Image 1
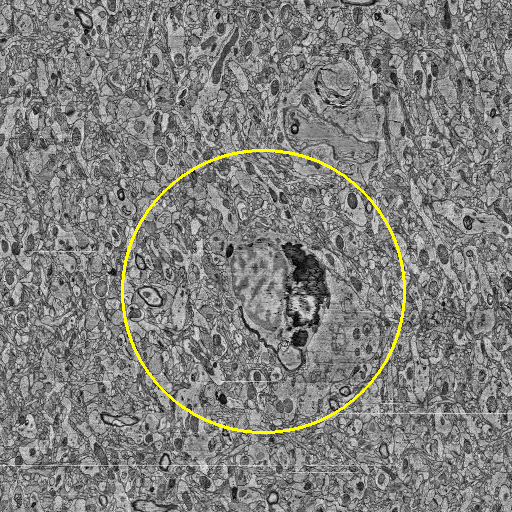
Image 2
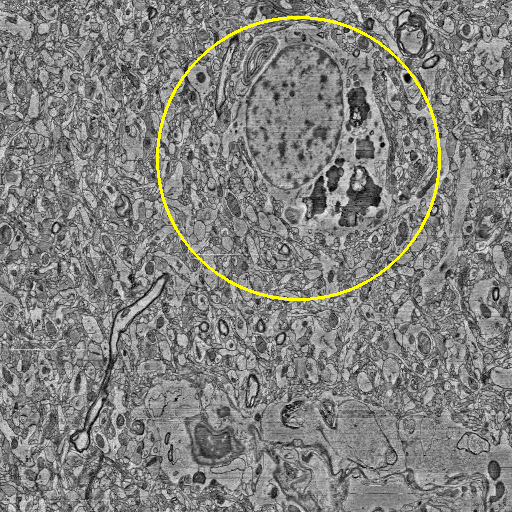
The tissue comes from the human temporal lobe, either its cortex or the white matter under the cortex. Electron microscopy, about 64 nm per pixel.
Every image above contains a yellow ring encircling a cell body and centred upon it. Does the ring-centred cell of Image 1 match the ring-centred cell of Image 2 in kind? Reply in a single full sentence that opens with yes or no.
No, the cell at the ring's centre in Image 1 is a separate kind from that in Image 2.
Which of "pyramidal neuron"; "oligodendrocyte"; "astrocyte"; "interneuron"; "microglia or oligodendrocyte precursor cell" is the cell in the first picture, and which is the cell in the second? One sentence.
The two differ: the first cell is an oligodendrocyte and the second is an astrocyte.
